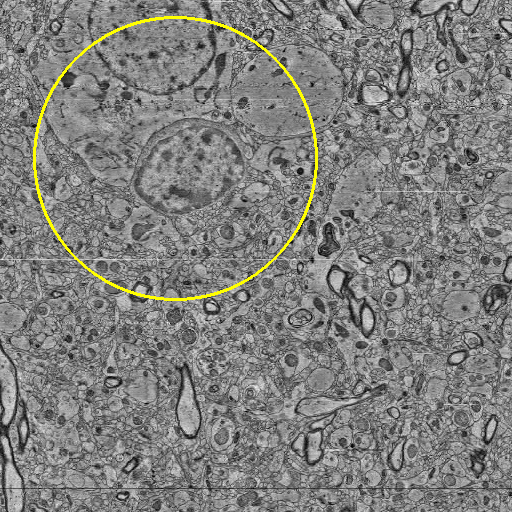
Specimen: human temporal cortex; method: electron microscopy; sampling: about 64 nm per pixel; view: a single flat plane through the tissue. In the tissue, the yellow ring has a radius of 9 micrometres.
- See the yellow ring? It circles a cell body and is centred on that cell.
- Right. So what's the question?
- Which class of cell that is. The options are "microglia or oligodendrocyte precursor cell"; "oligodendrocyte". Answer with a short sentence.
The centre of the ring holds an oligodendrocyte.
